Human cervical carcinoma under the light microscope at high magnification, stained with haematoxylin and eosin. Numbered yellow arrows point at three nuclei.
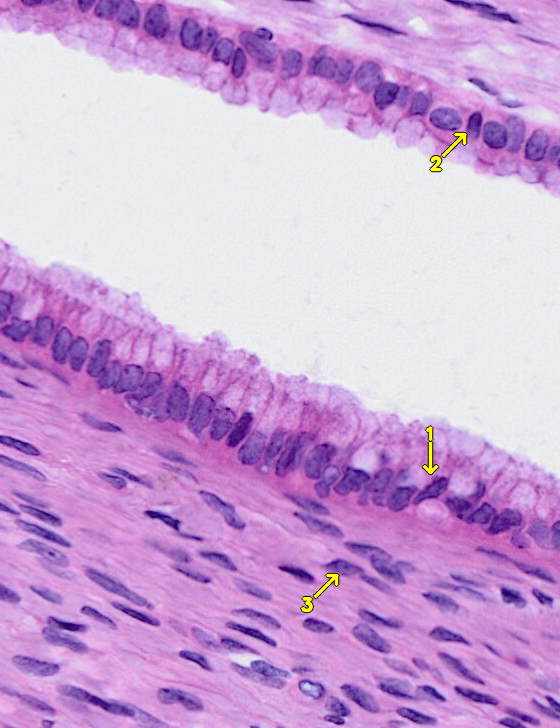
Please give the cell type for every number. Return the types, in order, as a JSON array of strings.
["secretory epithelial cell", "secretory epithelial cell", "fibroblast"]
